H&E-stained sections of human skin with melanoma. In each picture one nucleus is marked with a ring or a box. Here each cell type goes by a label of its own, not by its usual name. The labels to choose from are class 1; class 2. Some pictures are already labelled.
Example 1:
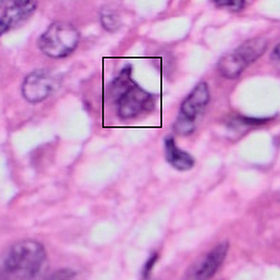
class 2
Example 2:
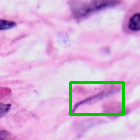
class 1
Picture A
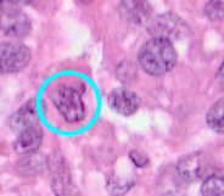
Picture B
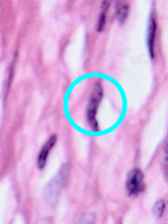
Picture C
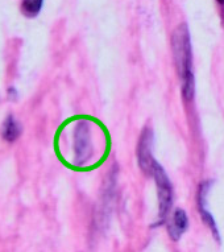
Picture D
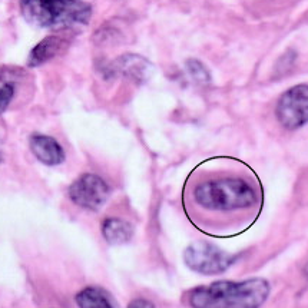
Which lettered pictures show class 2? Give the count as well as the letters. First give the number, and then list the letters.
2: A, D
